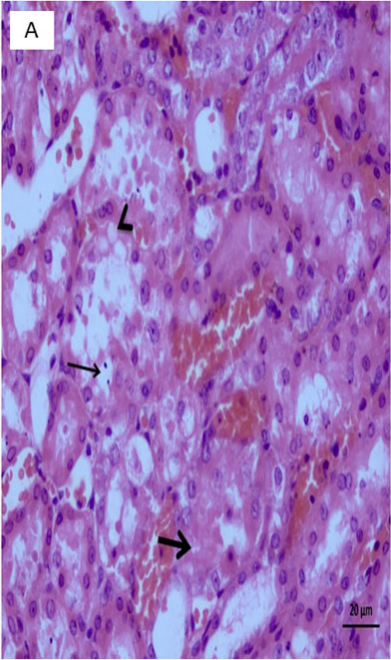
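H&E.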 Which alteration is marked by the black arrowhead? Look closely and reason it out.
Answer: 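Vacuolization. The arrowhead lies on tubule cells whose cytoplasm holds many clear, empty-looking spaces. Neighbouring tubules also show bubbly, pale cytoplasm.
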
